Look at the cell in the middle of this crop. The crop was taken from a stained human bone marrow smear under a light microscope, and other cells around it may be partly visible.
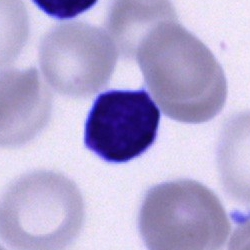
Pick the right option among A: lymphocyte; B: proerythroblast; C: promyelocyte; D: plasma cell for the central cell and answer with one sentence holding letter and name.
The central cell in this crop is a lymphocyte, corresponding to option A, the correct option.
